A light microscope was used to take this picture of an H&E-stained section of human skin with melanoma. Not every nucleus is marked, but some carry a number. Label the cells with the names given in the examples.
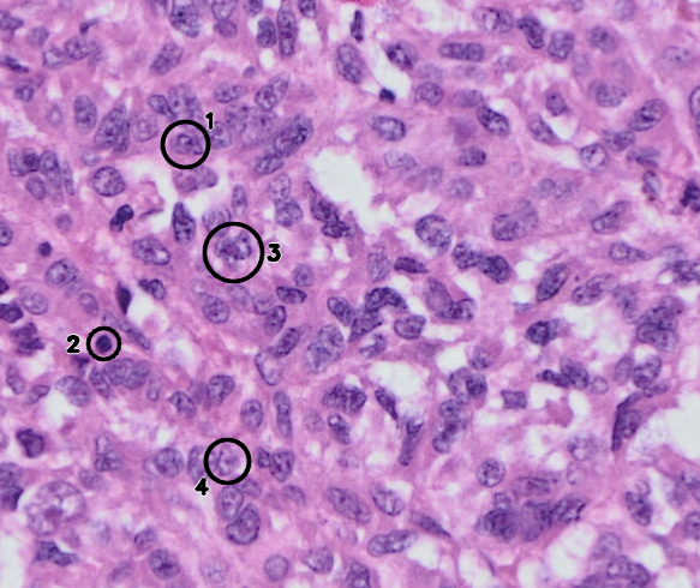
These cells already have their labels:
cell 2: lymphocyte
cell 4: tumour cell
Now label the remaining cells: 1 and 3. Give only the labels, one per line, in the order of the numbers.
tumour cell
tumour cell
